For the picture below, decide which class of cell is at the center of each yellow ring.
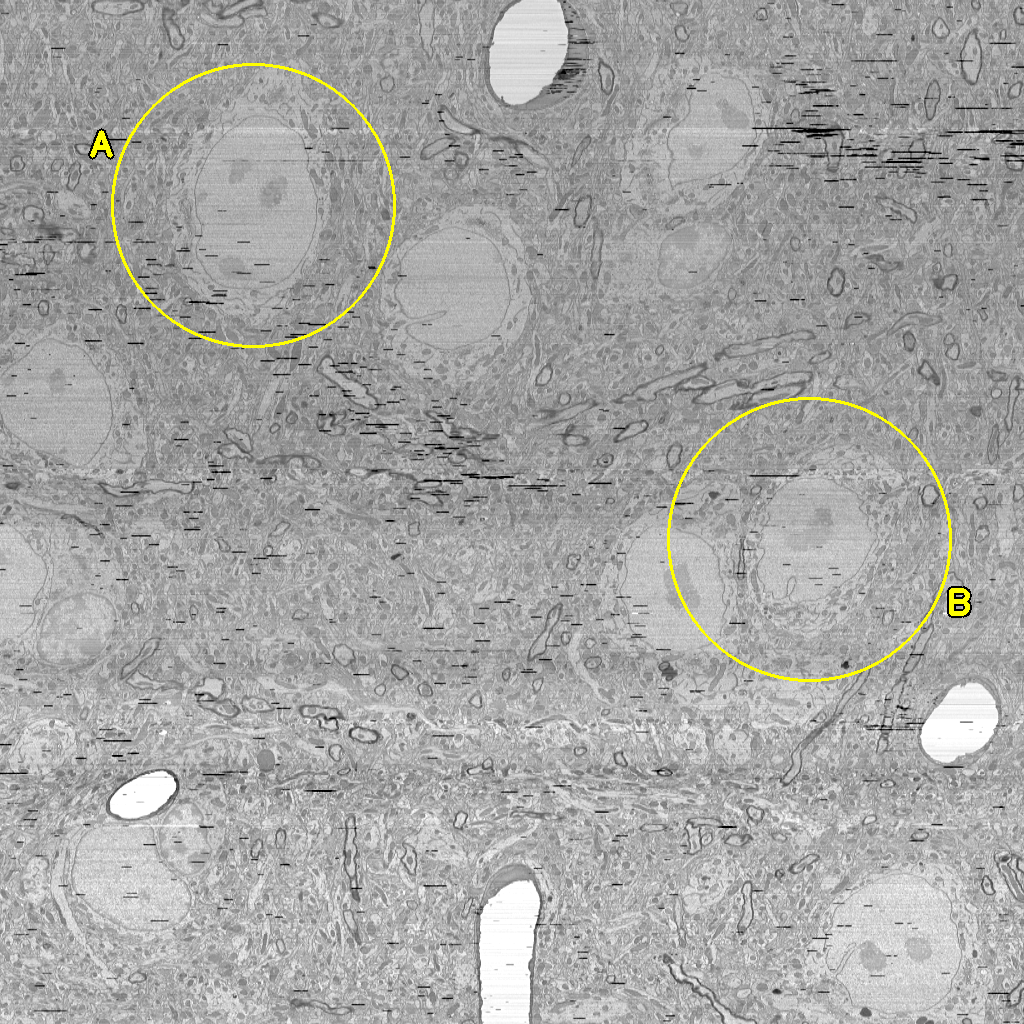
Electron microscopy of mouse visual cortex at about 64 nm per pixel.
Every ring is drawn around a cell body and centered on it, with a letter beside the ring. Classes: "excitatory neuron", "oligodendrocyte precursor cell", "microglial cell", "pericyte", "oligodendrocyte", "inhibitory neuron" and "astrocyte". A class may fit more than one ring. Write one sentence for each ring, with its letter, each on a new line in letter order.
Centered in ring A is an excitatory neuron.
Centered in ring B is an inhibitory neuron.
